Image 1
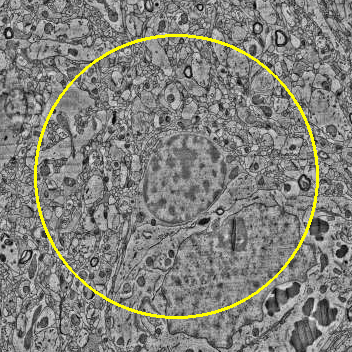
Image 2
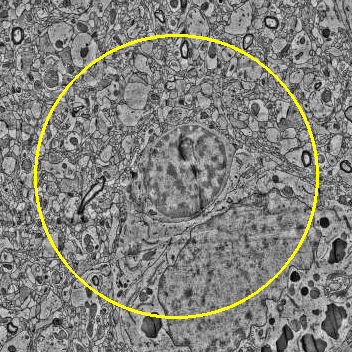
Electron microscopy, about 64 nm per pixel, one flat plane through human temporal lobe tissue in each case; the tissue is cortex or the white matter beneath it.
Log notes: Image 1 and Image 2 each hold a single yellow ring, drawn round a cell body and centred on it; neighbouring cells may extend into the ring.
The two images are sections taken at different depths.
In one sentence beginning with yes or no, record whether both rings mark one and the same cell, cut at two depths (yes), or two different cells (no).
Yes, both rings are placed on a single cell.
